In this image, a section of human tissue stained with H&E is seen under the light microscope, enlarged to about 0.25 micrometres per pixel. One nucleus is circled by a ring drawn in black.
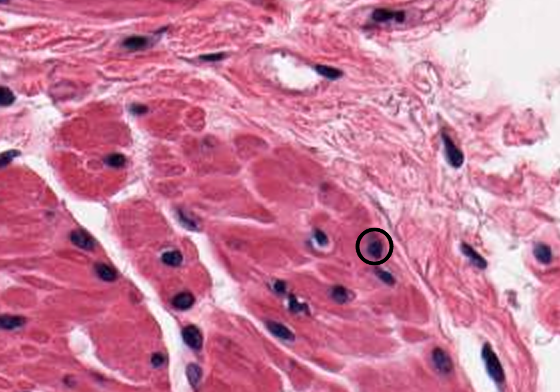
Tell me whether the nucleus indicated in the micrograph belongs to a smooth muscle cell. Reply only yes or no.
yes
